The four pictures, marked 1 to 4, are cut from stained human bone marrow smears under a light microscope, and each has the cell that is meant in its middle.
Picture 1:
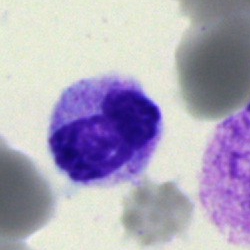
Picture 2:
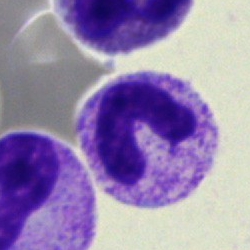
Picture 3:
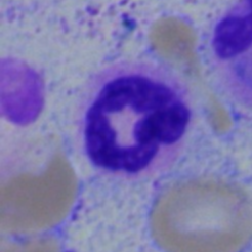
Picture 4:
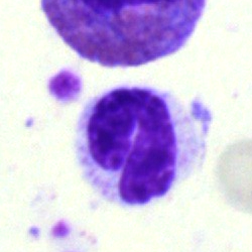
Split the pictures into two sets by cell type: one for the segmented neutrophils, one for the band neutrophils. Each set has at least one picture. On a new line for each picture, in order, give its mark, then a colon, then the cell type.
1: band neutrophil
2: band neutrophil
3: segmented neutrophil
4: band neutrophil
